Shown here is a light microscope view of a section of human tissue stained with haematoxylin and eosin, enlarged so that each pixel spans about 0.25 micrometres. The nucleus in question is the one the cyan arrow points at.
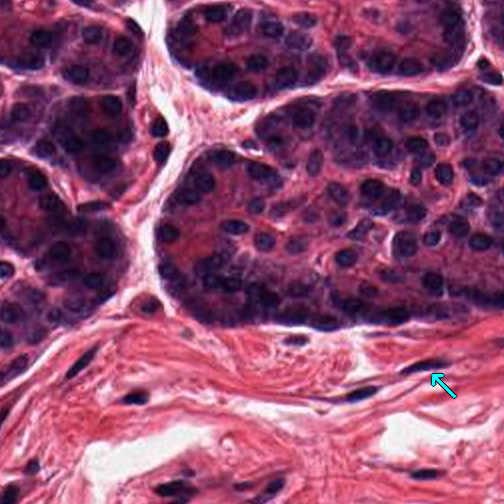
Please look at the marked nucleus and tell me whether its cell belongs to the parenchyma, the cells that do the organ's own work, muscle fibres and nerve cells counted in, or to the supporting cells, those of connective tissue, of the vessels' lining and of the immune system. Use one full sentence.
It is in a supporting cell that the marked nucleus lies.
